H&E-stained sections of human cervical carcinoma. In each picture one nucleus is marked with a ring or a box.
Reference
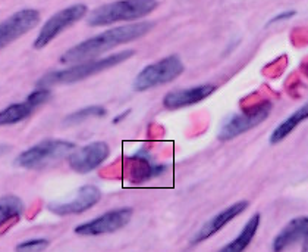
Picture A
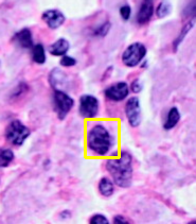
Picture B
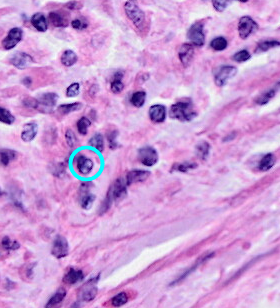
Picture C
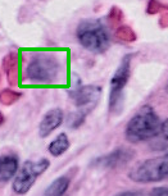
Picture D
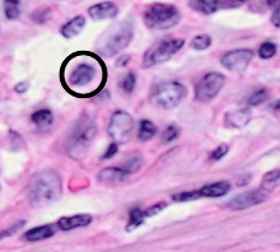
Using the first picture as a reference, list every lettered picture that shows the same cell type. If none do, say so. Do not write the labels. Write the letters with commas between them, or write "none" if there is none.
C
